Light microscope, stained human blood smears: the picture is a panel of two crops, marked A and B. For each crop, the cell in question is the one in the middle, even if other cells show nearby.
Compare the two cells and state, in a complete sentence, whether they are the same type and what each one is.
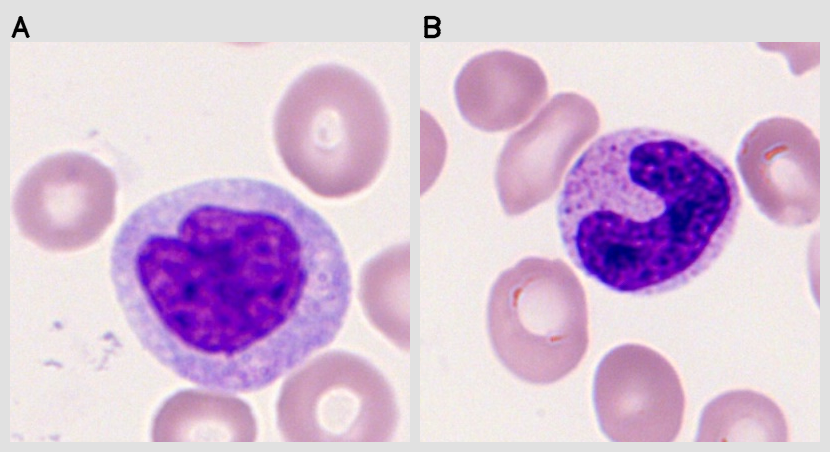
No, it is crop A that shows a monocyte, and crop B shows a band neutrophil.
